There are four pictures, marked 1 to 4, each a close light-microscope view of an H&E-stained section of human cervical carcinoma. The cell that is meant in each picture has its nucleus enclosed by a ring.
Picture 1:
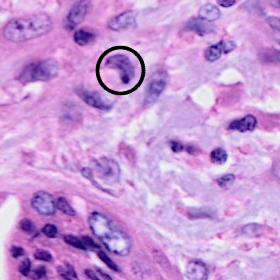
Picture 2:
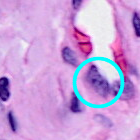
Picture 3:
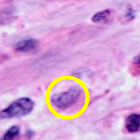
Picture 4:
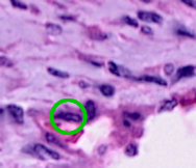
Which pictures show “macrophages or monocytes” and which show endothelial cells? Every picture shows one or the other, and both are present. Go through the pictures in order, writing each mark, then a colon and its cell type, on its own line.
1: macrophage or monocyte
2: endothelial cell
3: macrophage or monocyte
4: endothelial cell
